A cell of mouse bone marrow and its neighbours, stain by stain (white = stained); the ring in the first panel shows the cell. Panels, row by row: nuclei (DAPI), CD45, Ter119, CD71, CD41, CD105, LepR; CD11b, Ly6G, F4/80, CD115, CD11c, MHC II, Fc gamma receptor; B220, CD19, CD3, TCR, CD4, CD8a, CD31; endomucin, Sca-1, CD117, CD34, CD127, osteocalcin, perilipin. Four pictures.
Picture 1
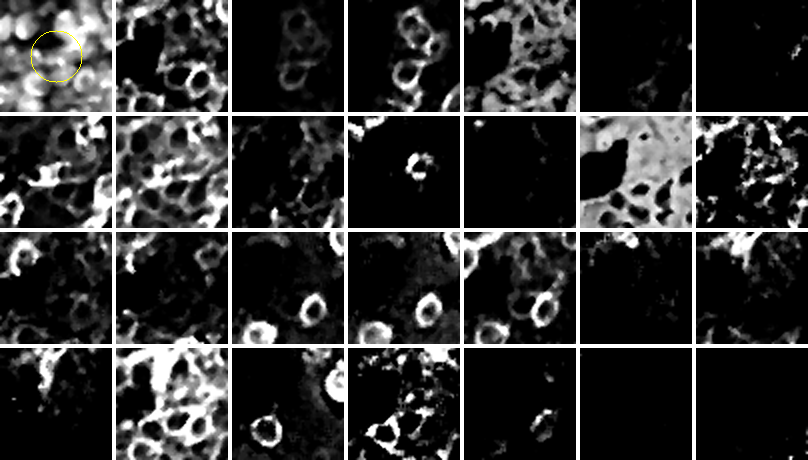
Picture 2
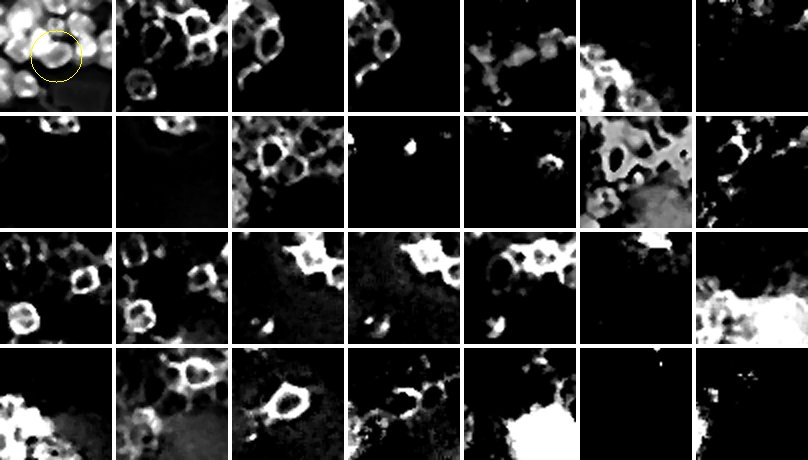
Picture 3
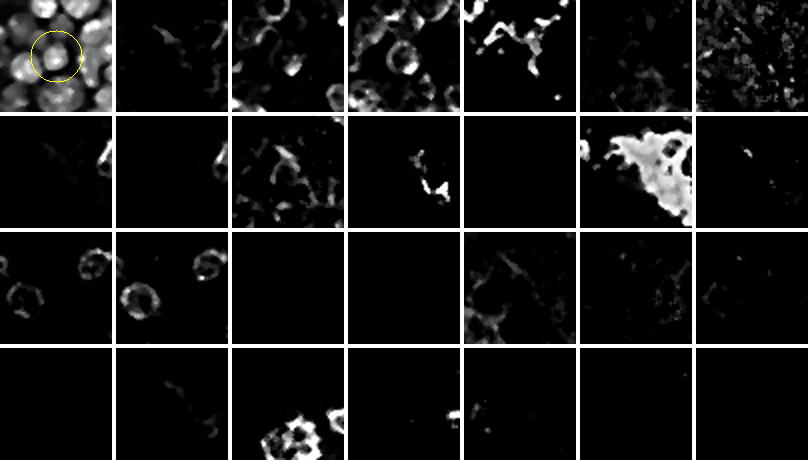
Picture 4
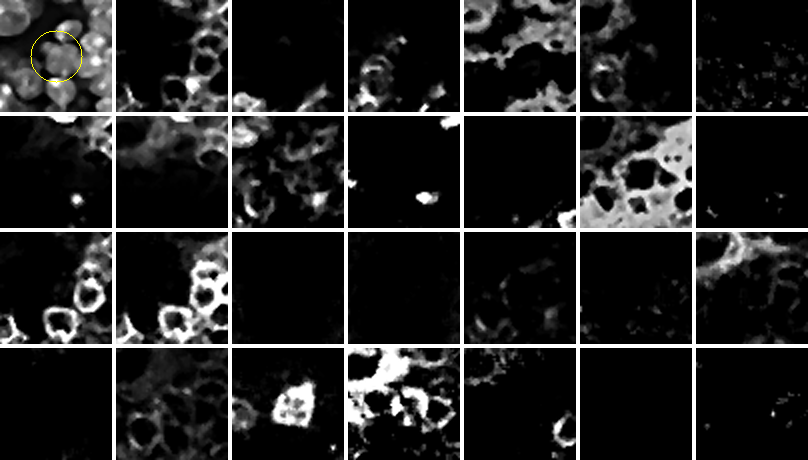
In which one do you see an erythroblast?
In picture 3.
